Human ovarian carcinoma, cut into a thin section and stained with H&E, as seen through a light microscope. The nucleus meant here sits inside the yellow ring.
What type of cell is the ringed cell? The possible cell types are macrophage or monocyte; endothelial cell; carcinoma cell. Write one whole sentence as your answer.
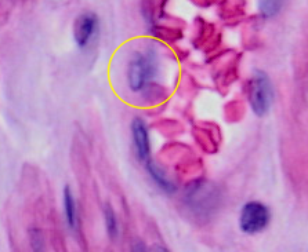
Within the stained tissue, the ringed cell is an endothelial cell.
